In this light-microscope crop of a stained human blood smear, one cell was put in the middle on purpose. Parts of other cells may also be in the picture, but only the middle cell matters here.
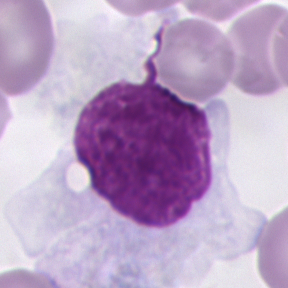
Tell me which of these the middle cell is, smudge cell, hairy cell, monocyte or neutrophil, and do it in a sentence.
The cell at the middle of the frame should be recorded as a hairy cell.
